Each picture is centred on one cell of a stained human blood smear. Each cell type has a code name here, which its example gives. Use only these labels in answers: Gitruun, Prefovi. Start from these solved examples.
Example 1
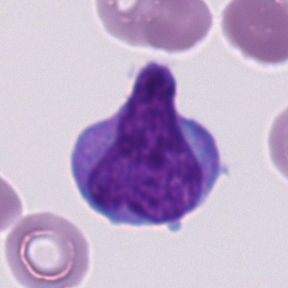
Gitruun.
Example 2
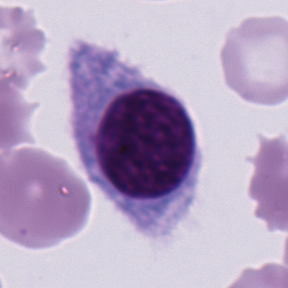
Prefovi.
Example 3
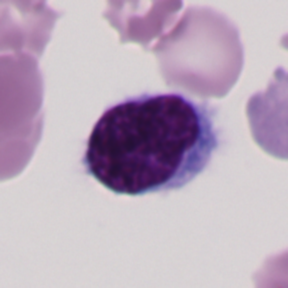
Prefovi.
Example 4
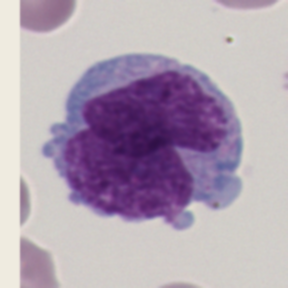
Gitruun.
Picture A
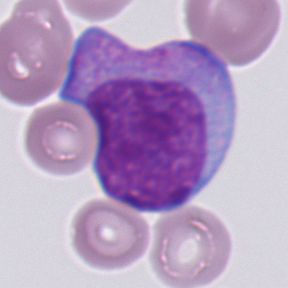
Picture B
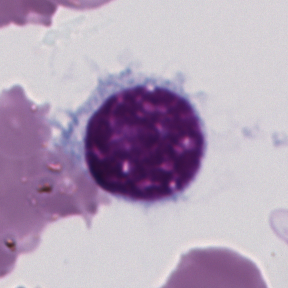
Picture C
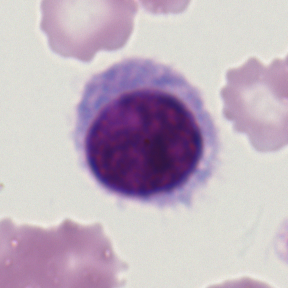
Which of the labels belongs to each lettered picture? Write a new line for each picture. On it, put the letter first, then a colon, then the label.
A: Gitruun.
B: Prefovi.
C: Prefovi.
